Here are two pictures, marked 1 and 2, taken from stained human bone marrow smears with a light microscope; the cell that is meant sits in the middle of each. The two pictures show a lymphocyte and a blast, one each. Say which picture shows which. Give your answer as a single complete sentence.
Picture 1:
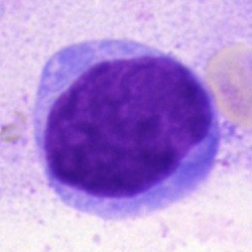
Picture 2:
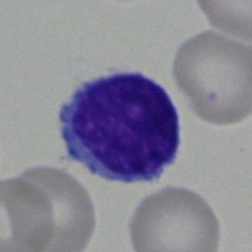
The cell in picture 1 is a blast, and the one in picture 2 is a lymphocyte.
